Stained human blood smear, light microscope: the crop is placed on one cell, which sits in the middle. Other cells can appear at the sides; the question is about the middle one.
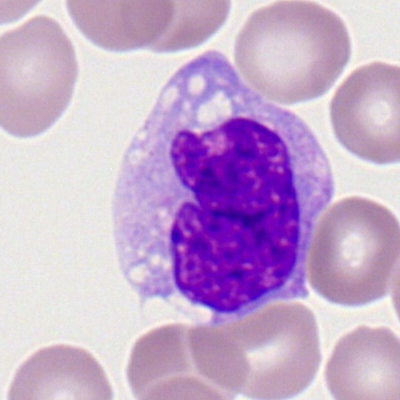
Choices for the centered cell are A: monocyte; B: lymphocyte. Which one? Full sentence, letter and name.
The cell at the heart of the crop is a monocyte, so choose option A.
